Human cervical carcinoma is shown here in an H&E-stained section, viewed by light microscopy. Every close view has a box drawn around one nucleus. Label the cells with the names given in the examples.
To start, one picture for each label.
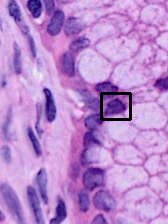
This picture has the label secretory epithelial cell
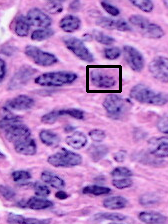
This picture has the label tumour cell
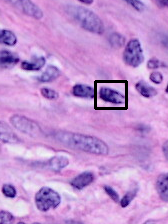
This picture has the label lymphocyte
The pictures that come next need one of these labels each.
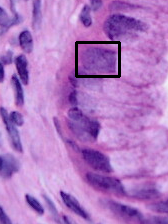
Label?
secretory epithelial cell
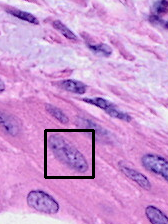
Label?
tumour cell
